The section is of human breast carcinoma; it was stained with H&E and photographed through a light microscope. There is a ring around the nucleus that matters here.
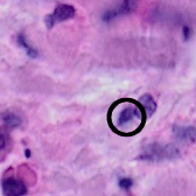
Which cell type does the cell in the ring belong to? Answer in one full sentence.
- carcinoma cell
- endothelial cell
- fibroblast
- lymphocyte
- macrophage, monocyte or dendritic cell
Typologically, the cell in the ring is a lymphocyte in this section.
